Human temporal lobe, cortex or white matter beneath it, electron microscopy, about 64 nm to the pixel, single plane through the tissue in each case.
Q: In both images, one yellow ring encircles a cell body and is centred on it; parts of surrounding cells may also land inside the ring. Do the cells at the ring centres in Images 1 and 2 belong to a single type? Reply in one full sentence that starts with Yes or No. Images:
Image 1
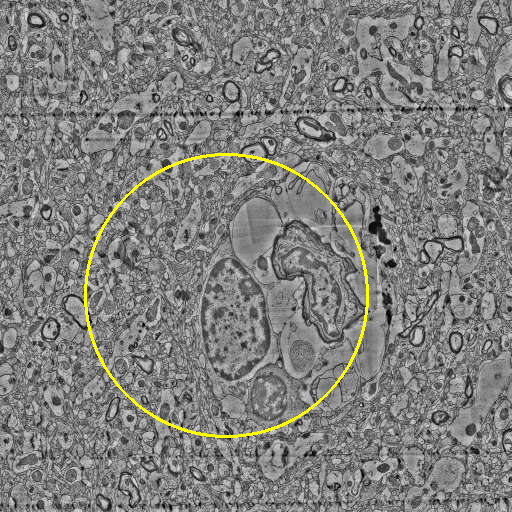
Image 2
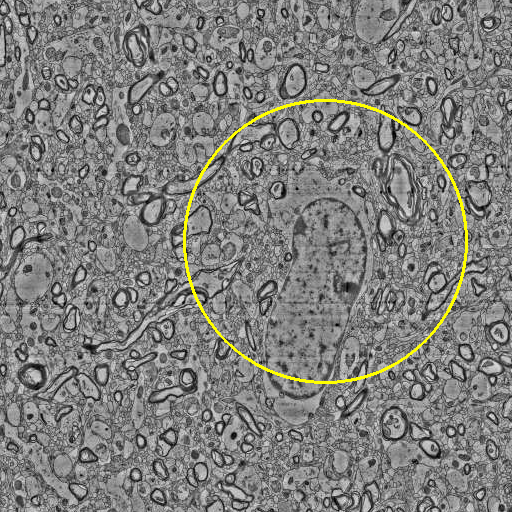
Yes, the cells at the ring centres in Images 1 and 2 are of a single type.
